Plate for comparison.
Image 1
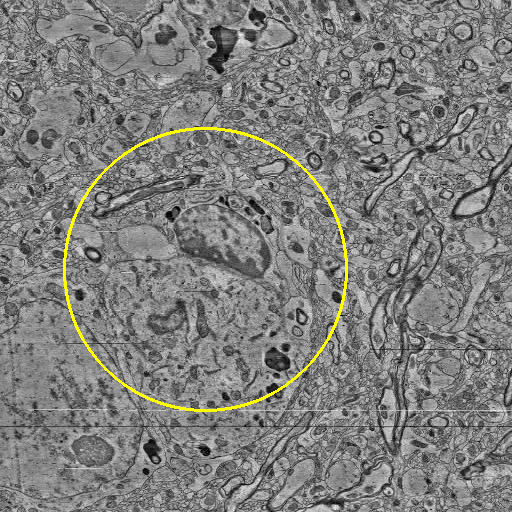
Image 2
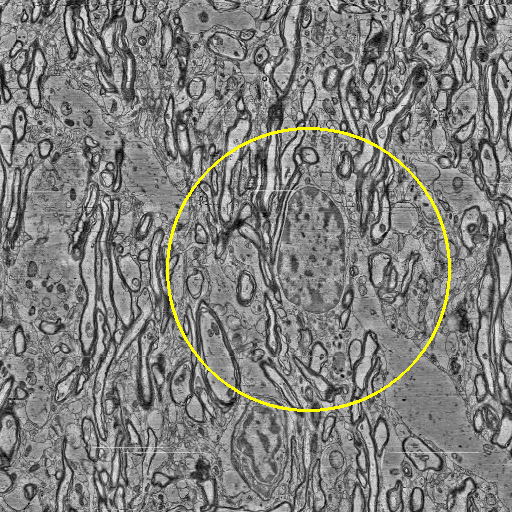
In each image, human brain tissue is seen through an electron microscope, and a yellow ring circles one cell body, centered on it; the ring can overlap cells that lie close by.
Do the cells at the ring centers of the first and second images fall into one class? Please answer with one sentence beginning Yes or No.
Yes, the first and second images show a single class of cell at the ring centers.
